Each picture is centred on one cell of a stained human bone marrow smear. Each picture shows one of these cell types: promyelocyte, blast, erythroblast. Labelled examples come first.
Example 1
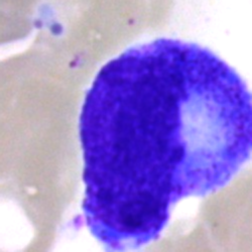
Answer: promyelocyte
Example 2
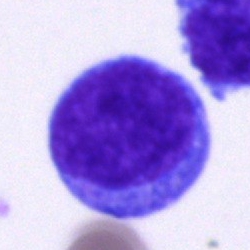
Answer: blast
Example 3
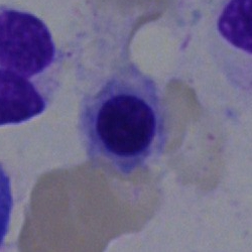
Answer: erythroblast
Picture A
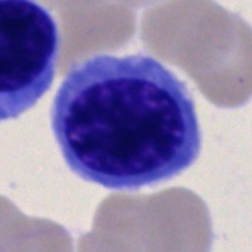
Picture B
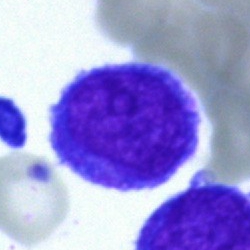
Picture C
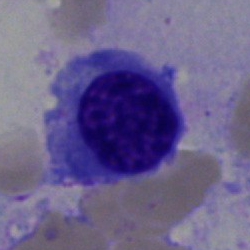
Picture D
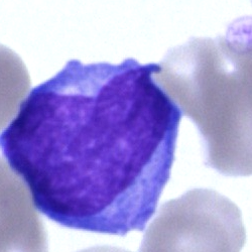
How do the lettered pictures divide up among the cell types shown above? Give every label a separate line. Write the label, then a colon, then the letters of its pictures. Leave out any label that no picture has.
blast: B, D
erythroblast: A, C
